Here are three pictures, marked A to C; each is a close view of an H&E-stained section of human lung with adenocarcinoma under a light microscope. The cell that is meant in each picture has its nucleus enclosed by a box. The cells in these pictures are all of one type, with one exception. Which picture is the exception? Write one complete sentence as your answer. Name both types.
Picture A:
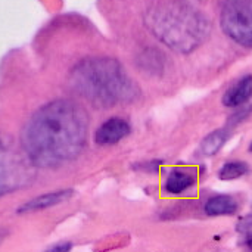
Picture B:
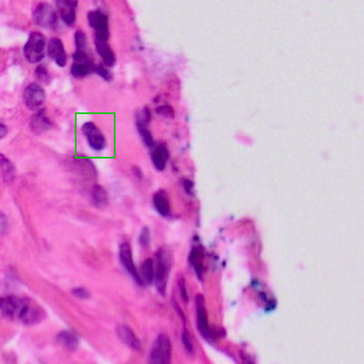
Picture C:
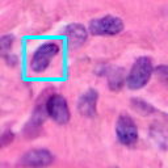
Unlike the rest, which show lymphocytes, picture A shows a plasma cell.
